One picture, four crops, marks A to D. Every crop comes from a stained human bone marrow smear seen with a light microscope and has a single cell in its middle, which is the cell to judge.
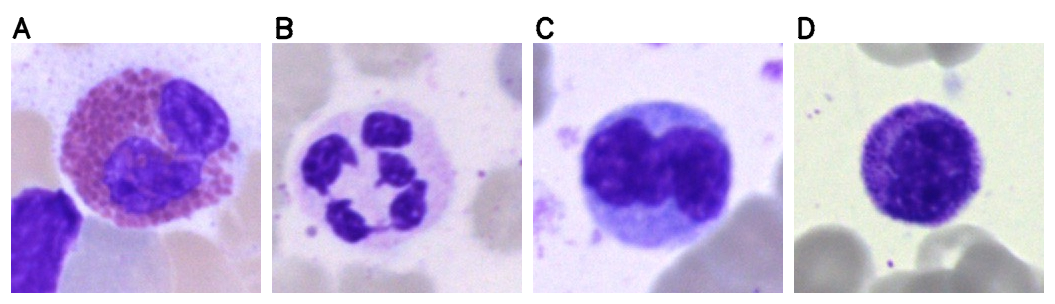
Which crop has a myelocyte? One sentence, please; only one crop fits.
The one showing a myelocyte is crop D.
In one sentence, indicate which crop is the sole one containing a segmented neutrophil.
Crop B is the crop that displays a segmented neutrophil.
